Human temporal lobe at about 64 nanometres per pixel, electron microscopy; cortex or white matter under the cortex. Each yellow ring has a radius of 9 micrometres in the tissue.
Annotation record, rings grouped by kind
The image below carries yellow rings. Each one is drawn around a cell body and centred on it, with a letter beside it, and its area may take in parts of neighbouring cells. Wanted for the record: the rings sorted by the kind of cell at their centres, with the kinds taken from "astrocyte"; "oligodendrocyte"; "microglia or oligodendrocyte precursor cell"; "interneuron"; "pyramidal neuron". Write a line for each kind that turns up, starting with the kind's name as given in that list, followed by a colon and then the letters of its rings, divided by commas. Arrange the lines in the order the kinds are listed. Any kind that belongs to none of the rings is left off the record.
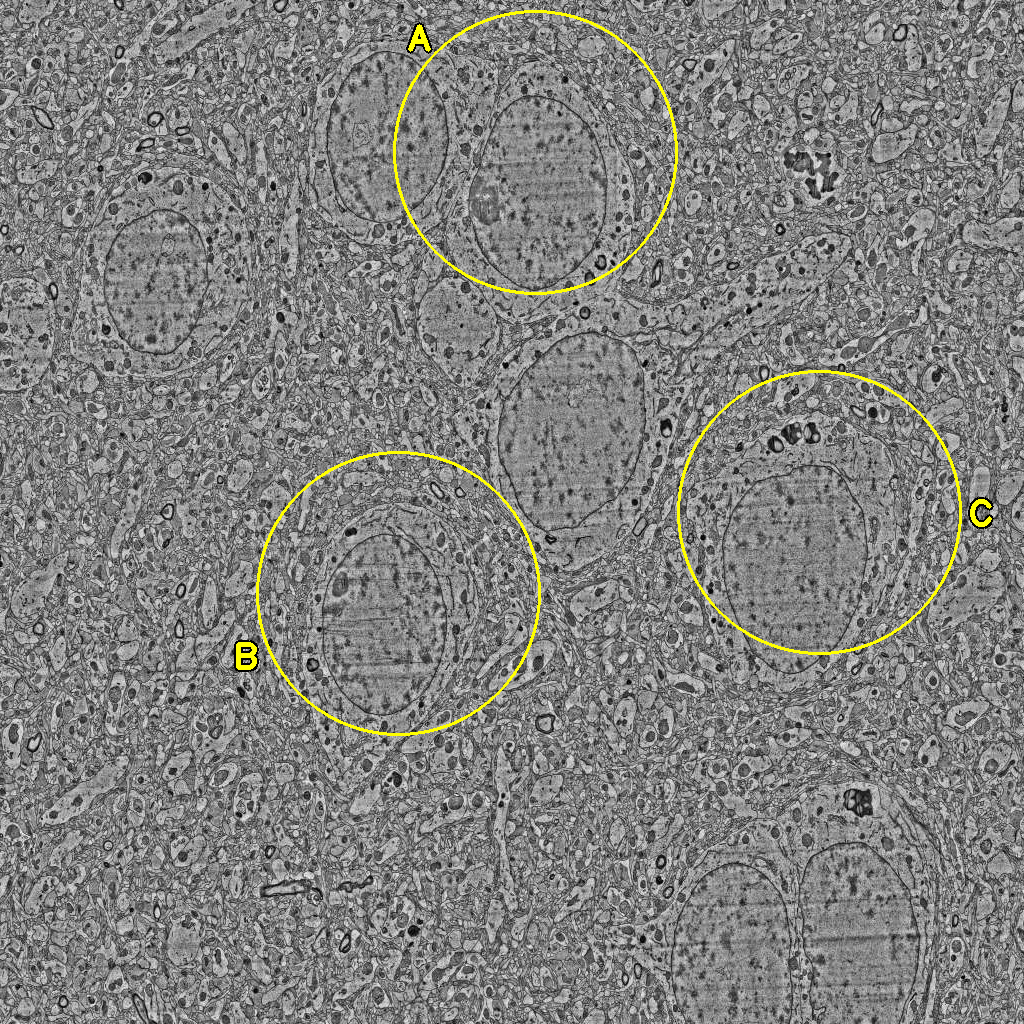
pyramidal neuron: A, B, C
